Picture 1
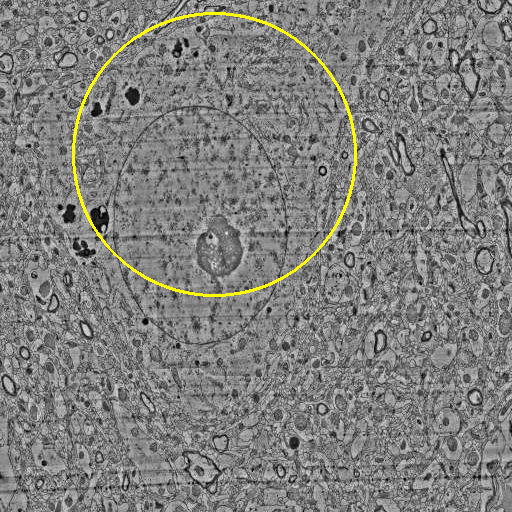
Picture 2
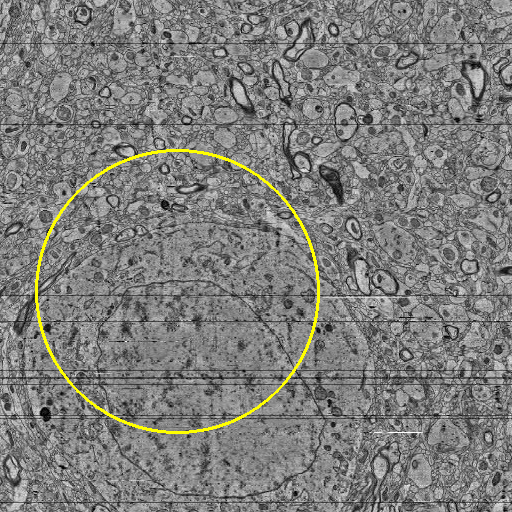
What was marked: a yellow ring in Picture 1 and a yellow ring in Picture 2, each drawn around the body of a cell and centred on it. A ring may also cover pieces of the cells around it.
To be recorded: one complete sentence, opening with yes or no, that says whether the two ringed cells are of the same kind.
Yes, the two ringed cells are of the same kind.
